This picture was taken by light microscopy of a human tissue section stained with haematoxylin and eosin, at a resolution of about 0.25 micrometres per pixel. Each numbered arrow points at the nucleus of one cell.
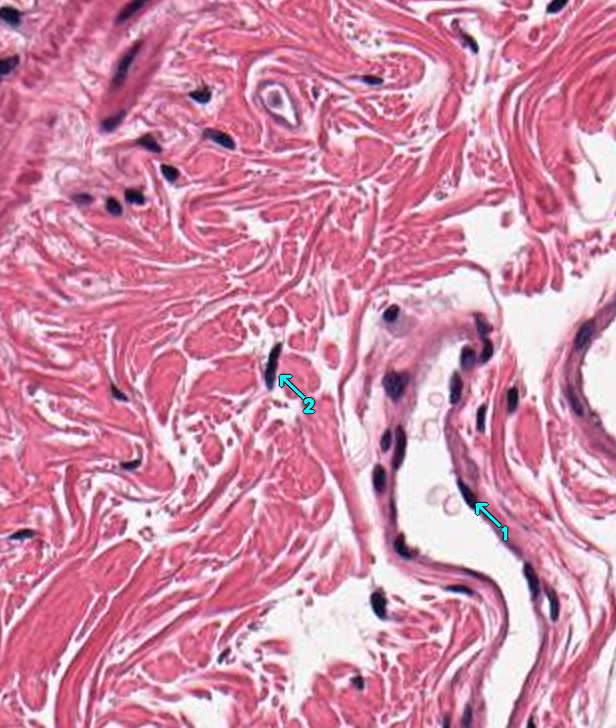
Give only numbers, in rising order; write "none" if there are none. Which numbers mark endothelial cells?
1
